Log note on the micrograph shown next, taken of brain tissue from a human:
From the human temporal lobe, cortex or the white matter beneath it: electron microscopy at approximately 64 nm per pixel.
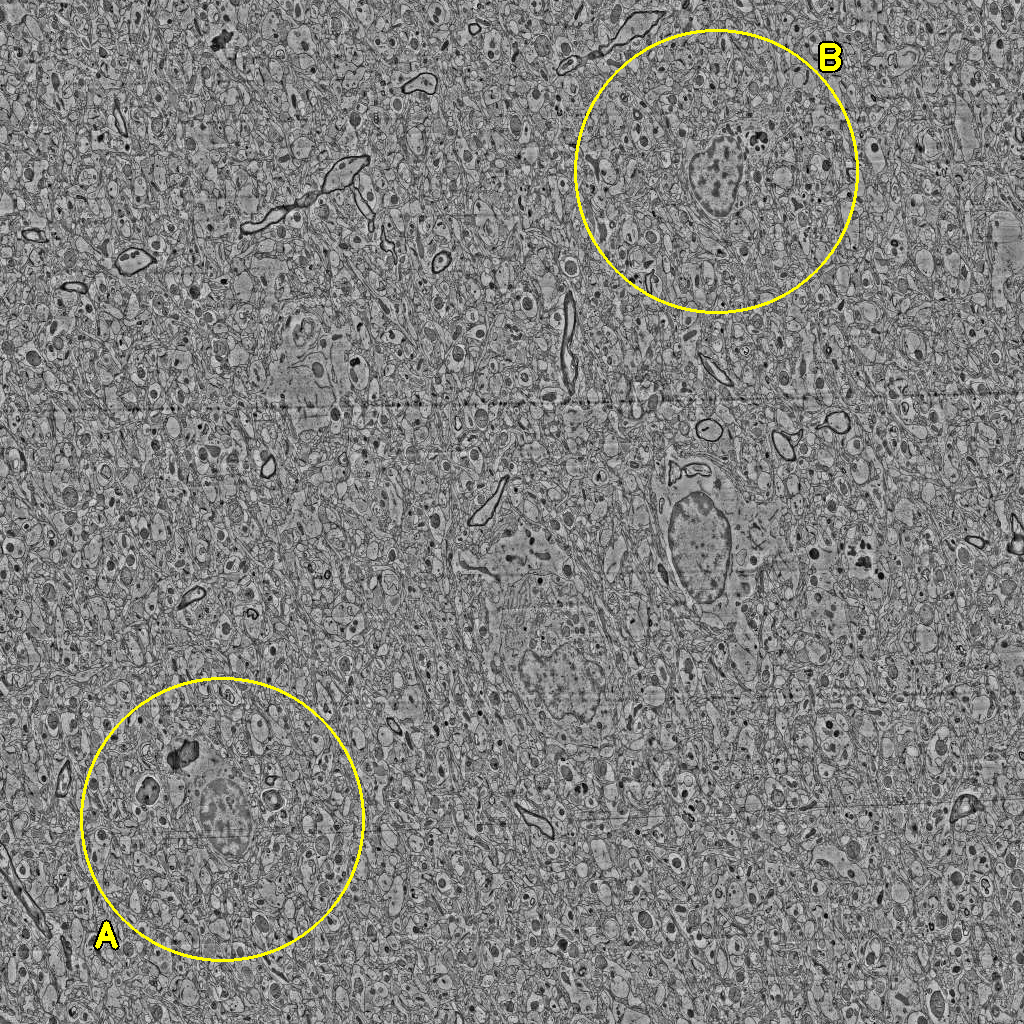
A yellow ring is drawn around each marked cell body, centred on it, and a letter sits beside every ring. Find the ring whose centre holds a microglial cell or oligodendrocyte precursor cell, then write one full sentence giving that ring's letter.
In the picture, the cell asked for sits at the centre of ring B.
